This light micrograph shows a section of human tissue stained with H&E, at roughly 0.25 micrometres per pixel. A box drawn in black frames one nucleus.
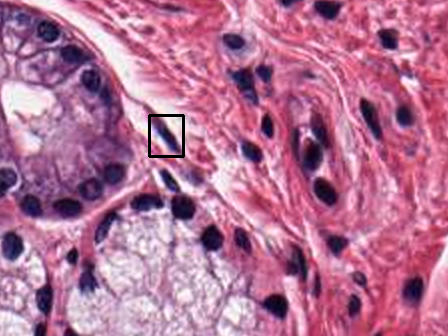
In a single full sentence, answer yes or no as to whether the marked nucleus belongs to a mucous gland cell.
No, instead of being part of a mucous gland cell, the marked nucleus is part of a supporting cell.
